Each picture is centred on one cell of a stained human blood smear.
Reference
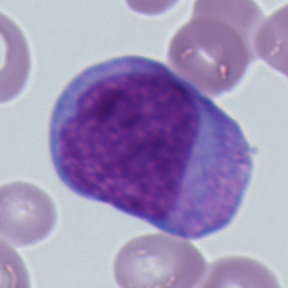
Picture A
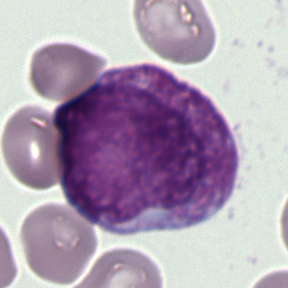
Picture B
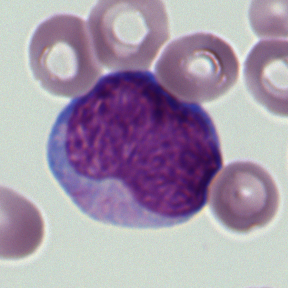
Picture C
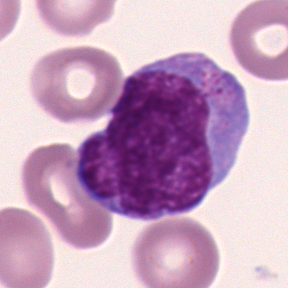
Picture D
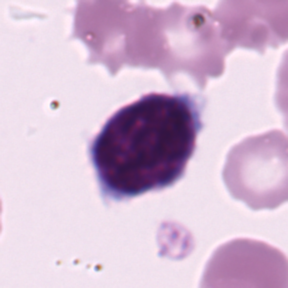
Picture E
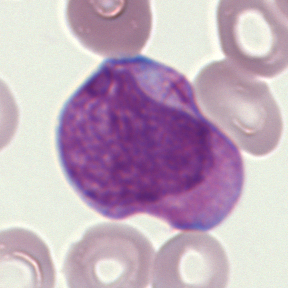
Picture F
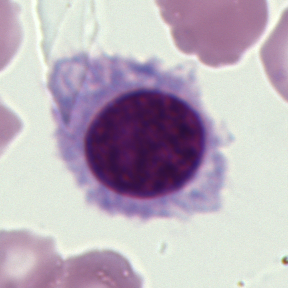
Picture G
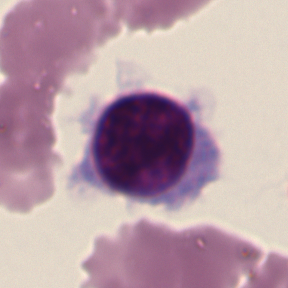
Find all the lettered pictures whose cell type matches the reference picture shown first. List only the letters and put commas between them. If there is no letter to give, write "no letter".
A, B, C, E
